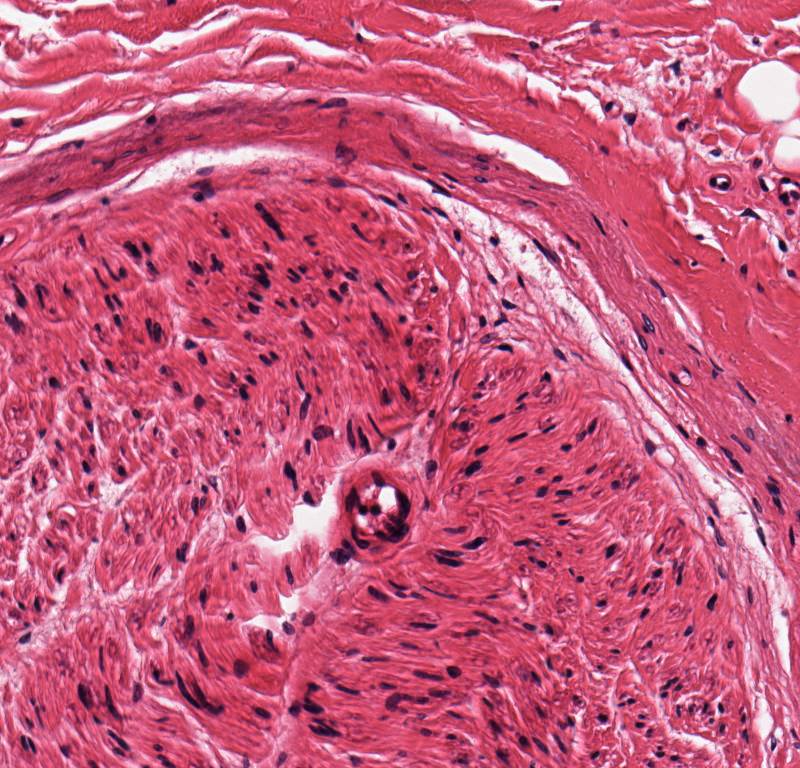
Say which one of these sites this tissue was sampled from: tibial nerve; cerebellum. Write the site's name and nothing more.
tibial nerve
